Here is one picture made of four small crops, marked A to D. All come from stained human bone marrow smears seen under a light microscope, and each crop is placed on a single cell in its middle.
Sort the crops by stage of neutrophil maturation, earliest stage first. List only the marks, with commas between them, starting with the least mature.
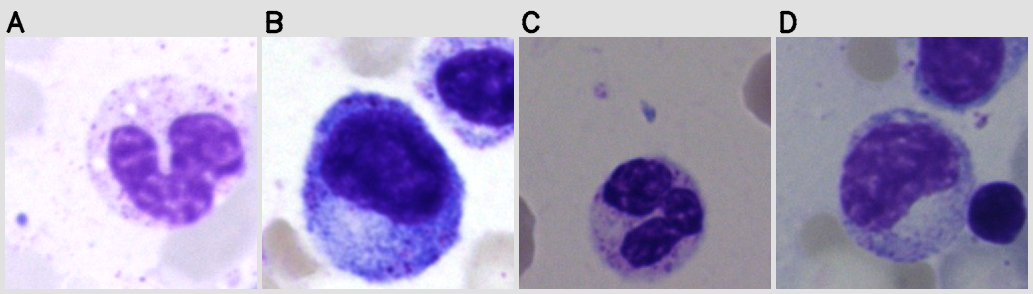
B, D, A, C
